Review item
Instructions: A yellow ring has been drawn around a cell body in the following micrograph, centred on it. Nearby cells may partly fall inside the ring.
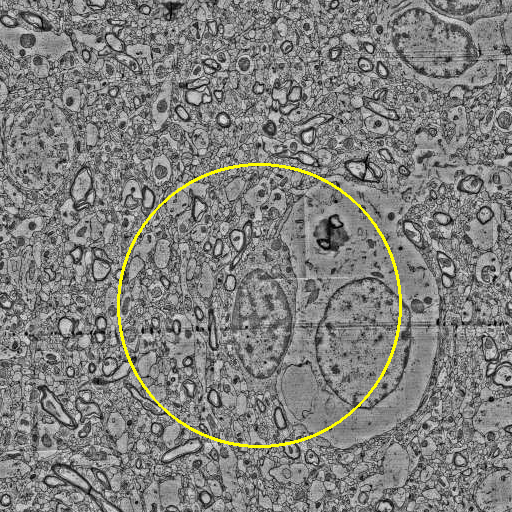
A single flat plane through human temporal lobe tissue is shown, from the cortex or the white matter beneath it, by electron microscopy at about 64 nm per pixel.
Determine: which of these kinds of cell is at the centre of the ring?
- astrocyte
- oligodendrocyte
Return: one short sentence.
The cell body in the middle of the ring is that of an oligodendrocyte.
